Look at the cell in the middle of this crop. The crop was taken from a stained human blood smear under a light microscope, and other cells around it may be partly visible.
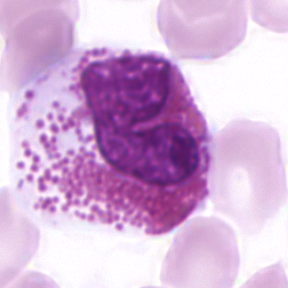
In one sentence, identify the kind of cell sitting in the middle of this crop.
The cell under consideration, at the middle of the crop, is an eosinophil.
